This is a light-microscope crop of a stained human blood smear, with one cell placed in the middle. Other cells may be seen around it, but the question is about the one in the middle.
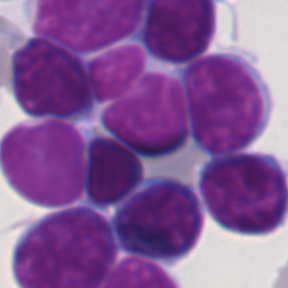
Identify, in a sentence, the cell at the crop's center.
The identification for the central cell is a blast.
